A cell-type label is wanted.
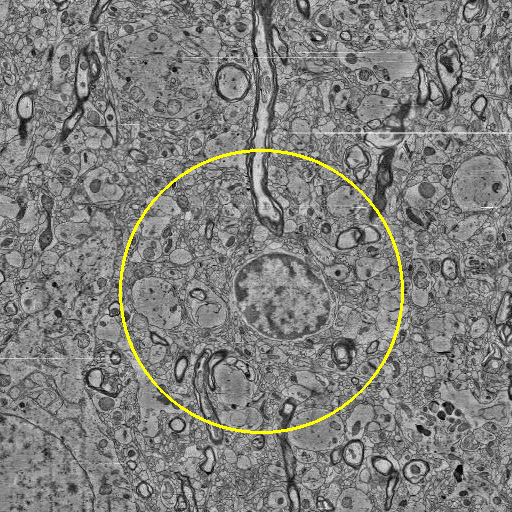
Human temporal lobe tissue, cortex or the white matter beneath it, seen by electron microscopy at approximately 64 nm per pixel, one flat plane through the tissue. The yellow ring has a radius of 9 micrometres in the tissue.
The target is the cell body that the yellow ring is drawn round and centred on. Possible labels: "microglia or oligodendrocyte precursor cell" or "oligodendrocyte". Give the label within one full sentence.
Of the labels offered, the cell in the middle of the yellow ring is a microglial cell or oligodendrocyte precursor cell.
